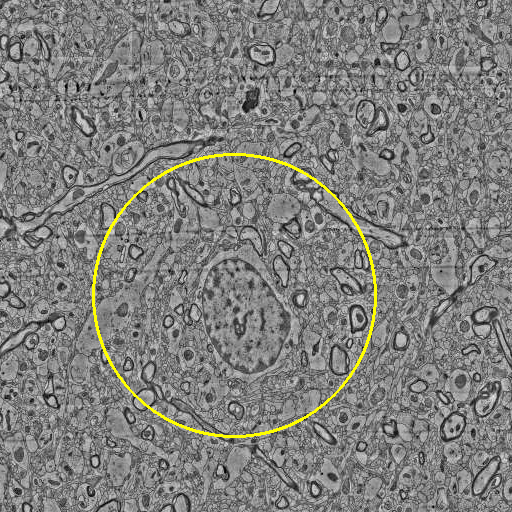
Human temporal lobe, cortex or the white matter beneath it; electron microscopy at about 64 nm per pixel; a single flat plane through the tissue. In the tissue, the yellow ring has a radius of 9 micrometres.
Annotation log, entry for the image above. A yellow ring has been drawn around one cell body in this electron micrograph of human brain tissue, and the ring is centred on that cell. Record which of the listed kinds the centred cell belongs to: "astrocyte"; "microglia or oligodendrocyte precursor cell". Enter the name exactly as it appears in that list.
microglia or oligodendrocyte precursor cell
